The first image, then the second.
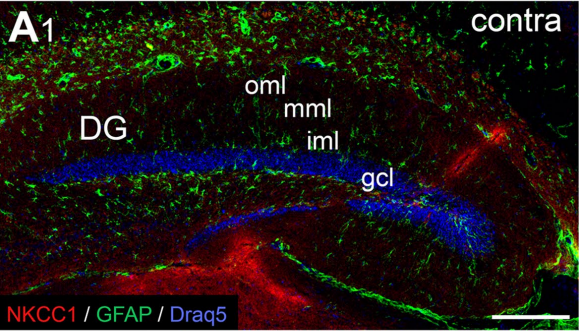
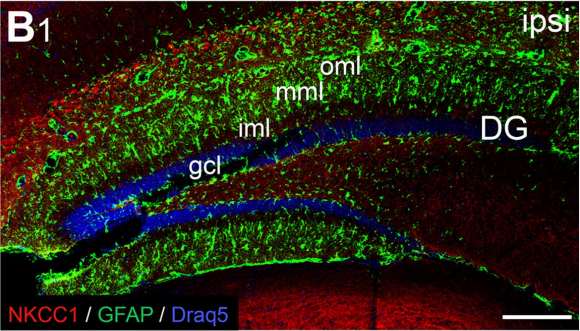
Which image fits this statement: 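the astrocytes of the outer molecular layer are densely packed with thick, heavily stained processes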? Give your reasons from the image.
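Second image: the upper molecular layer is crowded with bright green star-shaped cells with thick processes. First image: green star-shaped cells are sparse and thin, with much dark space between them.
Answer: the second image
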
